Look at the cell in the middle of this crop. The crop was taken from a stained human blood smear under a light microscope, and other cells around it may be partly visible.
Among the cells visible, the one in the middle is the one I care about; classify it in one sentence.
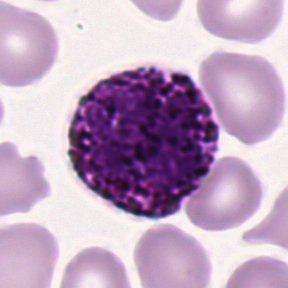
For this crop, the central cell is a basophil.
